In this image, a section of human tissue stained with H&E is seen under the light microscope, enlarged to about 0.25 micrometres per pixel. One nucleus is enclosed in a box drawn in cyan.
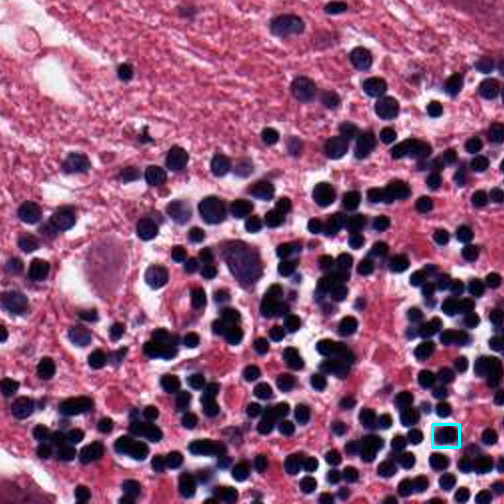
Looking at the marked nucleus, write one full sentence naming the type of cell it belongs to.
In the section shown, the marked nucleus belongs to a cerebellar granule cell.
